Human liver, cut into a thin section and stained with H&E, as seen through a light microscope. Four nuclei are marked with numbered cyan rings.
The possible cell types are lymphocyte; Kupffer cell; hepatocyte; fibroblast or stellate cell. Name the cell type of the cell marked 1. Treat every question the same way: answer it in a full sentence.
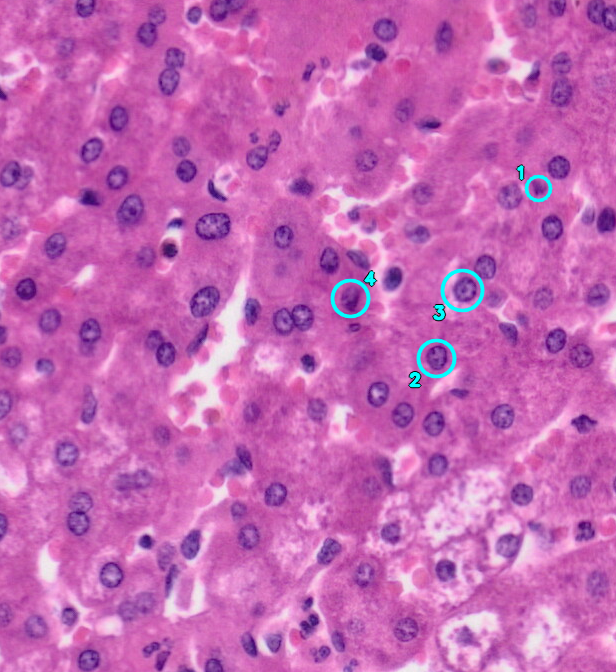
The cell identified by the number 1 is a fibroblast or stellate cell.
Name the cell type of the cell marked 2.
Cell number 2 in this section is a hepatocyte.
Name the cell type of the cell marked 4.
To a hepatocyte belongs the nucleus marked 4.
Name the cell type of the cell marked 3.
Corresponding to a hepatocyte is the cell labelled 3.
